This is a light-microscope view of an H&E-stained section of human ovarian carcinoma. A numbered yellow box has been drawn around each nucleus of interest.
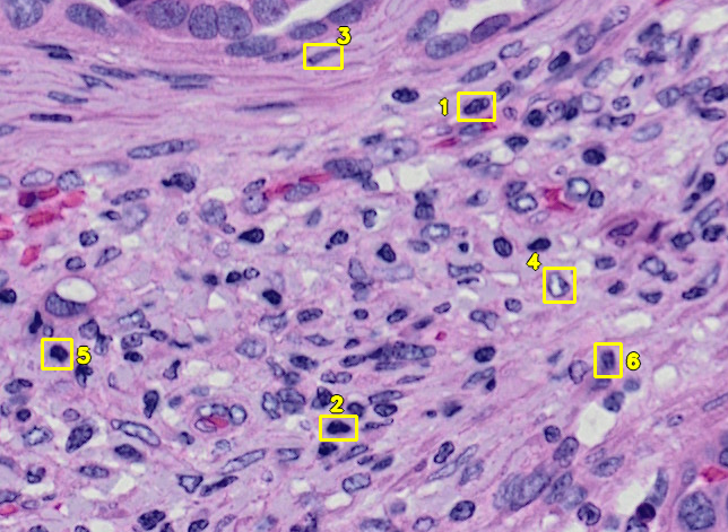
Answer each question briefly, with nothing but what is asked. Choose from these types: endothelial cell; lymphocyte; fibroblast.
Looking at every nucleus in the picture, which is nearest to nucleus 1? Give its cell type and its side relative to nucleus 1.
an endothelial cell, below nucleus 1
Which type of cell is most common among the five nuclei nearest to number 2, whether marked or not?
lymphocyte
